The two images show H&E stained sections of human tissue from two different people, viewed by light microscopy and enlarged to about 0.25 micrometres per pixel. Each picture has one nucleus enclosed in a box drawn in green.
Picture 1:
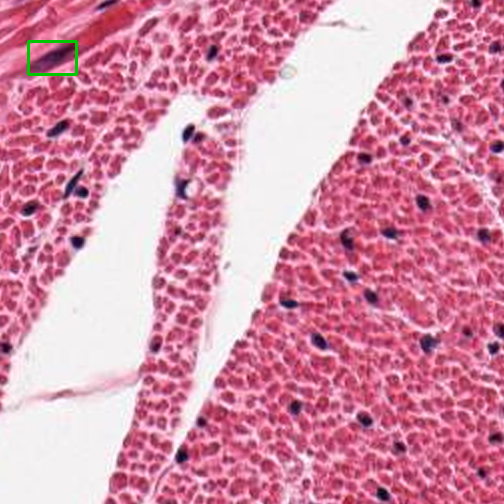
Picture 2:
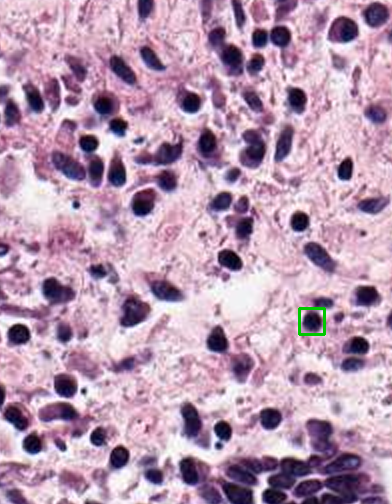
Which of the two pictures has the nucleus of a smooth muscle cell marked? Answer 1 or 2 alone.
1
